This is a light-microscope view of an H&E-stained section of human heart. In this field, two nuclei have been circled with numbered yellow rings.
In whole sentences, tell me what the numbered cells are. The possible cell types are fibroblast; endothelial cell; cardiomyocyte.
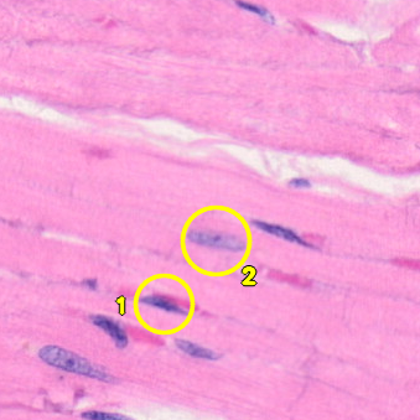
Cell 1 is an endothelial cell. Cell 2 is a cardiomyocyte.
